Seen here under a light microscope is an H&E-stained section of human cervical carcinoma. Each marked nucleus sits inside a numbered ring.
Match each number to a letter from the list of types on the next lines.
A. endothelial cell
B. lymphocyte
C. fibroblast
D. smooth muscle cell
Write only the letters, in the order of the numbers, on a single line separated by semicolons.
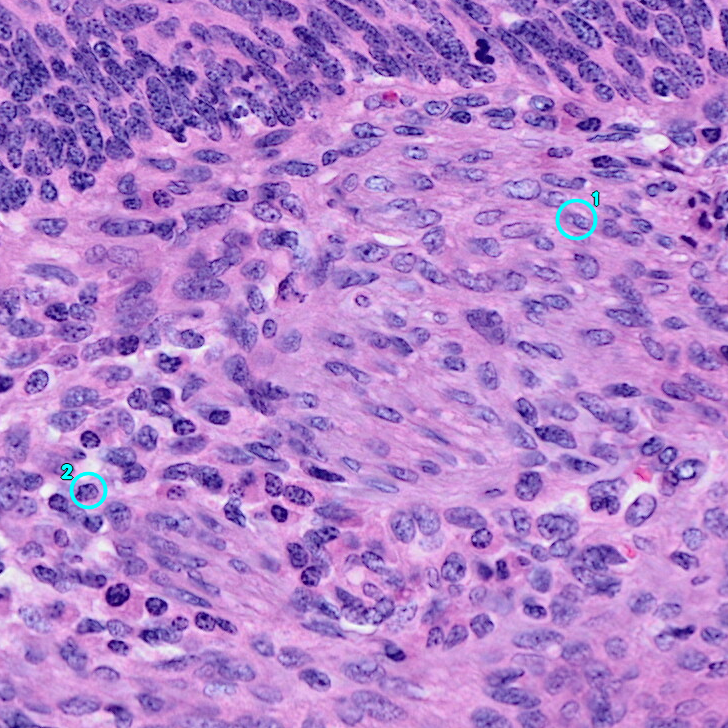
D; B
